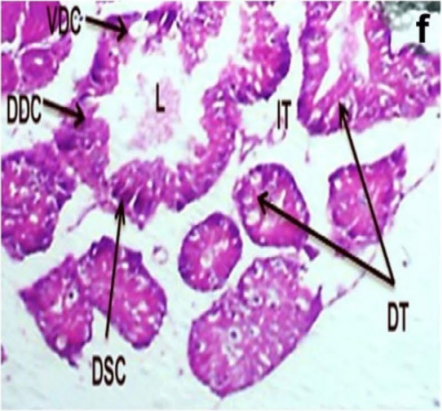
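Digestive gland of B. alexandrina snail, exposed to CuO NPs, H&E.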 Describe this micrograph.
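The epithelium lining the large central lumen is ragged and uneven, with cells of irregular height, some vacuolated and others densely stained purple. Small dark, condensed nuclei are scattered through the lining. The lumen itself is filled with pale pink material and debris rather than being clear. Around the tubules the spaces are widened, so the tubules stand apart as separate, irregular islands instead of forming a compact mass.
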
